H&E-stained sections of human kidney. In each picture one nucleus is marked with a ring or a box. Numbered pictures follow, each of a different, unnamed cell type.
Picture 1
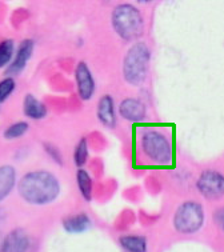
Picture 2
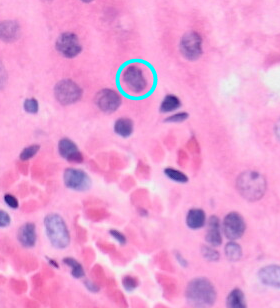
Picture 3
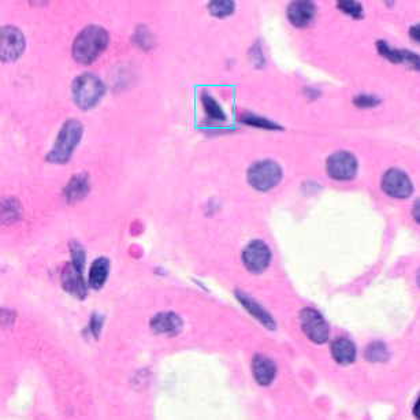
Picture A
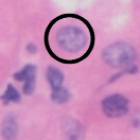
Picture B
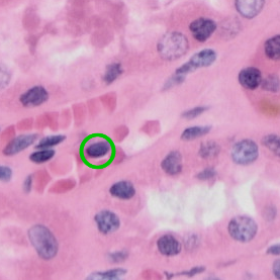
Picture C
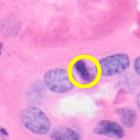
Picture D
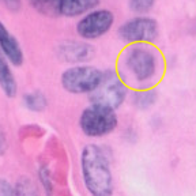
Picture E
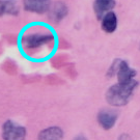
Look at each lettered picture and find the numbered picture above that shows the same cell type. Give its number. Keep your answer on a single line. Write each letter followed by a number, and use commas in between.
A 2, B 3, C 1, D 1, E 3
